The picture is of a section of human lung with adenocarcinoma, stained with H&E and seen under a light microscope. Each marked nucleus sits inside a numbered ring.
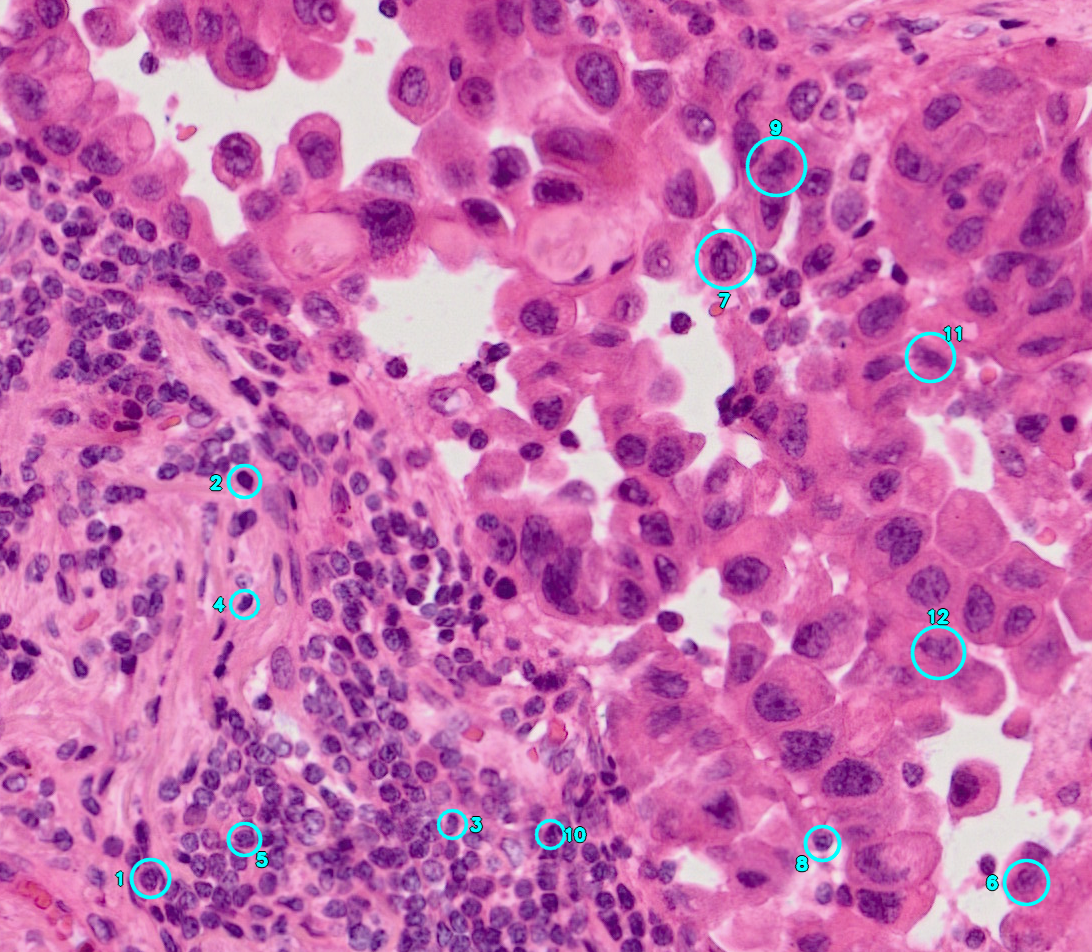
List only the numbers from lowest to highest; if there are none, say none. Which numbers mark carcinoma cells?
6, 7, 9, 11, 12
